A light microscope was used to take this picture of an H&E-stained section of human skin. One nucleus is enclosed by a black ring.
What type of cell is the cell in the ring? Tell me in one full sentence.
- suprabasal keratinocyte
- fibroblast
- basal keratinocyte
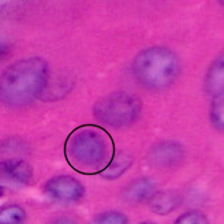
What the cell in the ring represents is a suprabasal keratinocyte.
